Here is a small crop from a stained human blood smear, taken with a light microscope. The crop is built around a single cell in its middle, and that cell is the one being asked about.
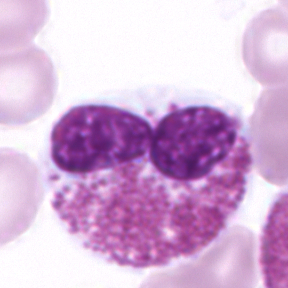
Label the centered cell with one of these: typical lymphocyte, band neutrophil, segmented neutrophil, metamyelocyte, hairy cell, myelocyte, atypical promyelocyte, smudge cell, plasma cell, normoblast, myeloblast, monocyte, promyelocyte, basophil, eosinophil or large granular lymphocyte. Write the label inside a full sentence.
For this crop, the cell in the middle is an eosinophil.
